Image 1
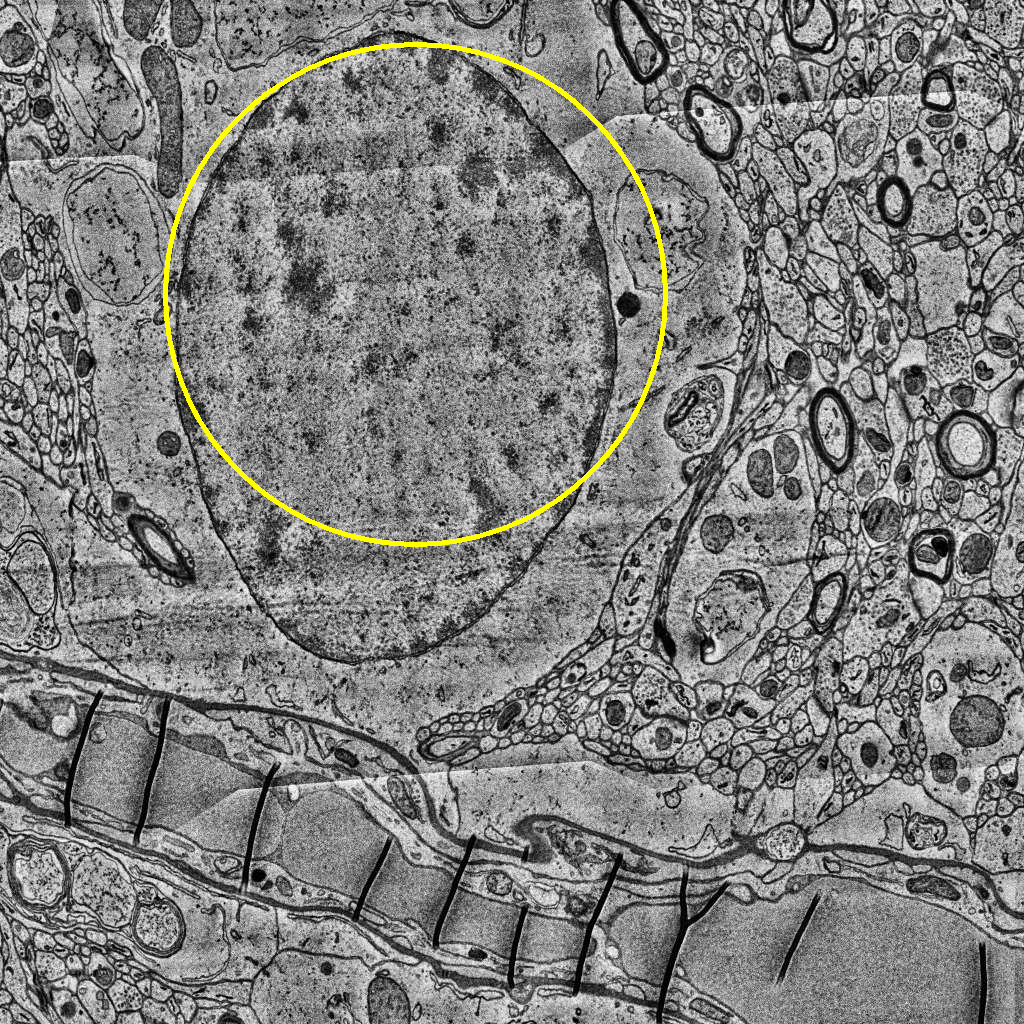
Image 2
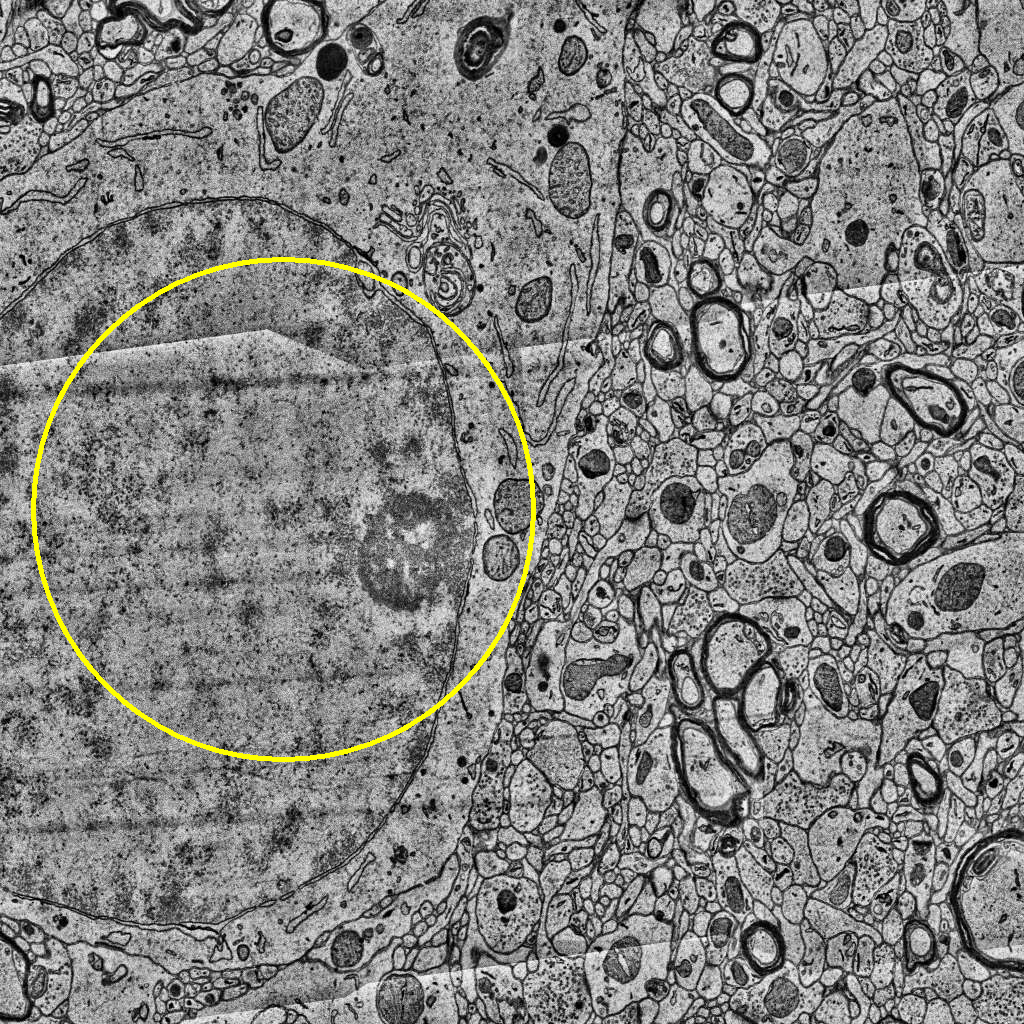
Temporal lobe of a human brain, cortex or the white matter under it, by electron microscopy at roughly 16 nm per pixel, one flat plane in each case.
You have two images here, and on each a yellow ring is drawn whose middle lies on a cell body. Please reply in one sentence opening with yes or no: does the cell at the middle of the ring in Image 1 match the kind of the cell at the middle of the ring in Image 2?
No, the two images show cells of two kinds at the centres of their rings.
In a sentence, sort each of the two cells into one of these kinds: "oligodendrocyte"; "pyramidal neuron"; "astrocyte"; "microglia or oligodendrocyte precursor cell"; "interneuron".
The one in the first picture is an astrocyte, while the one in the second is an interneuron.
